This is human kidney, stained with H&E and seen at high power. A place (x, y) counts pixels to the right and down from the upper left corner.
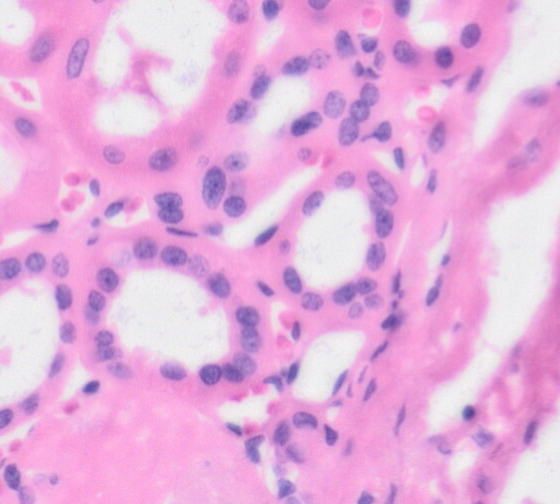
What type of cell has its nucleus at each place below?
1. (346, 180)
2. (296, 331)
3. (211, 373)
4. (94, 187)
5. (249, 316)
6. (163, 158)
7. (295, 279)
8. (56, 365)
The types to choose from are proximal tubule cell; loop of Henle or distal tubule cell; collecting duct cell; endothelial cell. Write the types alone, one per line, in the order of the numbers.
collecting duct cell
endothelial cell
collecting duct cell
endothelial cell
collecting duct cell
proximal tubule cell
collecting duct cell
collecting duct cell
